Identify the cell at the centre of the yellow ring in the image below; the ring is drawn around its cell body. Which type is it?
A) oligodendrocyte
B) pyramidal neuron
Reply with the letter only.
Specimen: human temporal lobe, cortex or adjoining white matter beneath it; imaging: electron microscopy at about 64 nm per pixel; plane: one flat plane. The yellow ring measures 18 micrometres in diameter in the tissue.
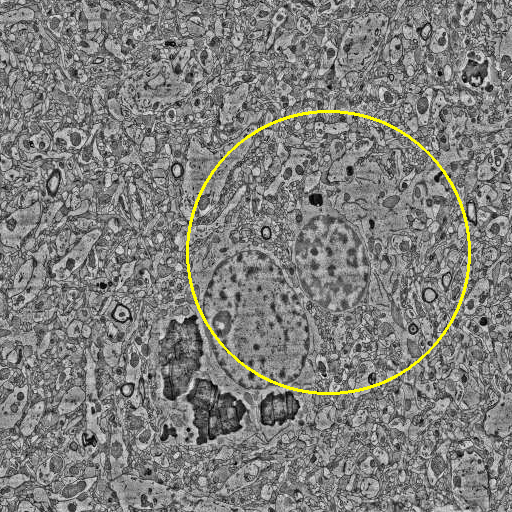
A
